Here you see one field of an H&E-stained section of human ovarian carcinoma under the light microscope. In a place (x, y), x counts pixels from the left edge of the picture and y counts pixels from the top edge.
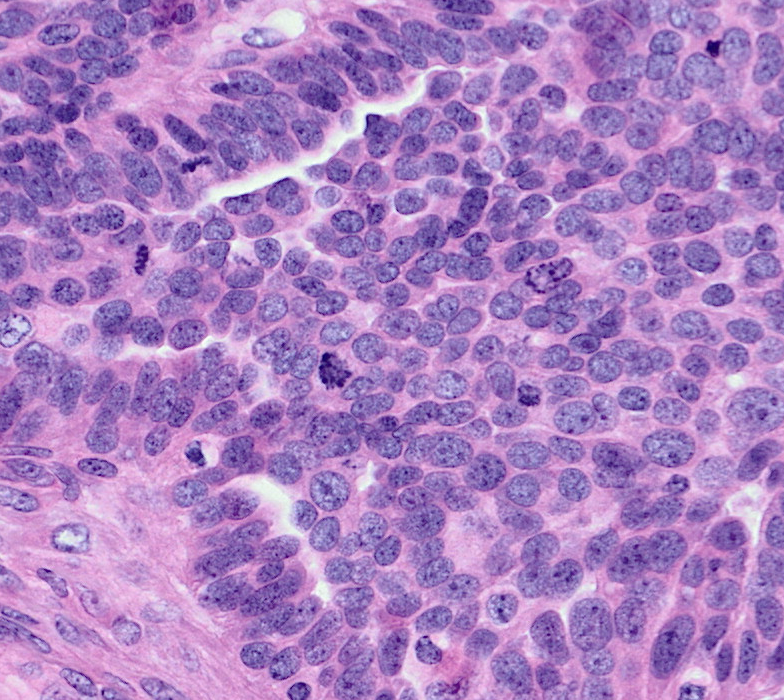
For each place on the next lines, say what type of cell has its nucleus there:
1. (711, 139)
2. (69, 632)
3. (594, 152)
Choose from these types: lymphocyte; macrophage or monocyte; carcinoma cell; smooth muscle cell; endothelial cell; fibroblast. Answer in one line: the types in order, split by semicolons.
carcinoma cell; fibroblast; carcinoma cell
